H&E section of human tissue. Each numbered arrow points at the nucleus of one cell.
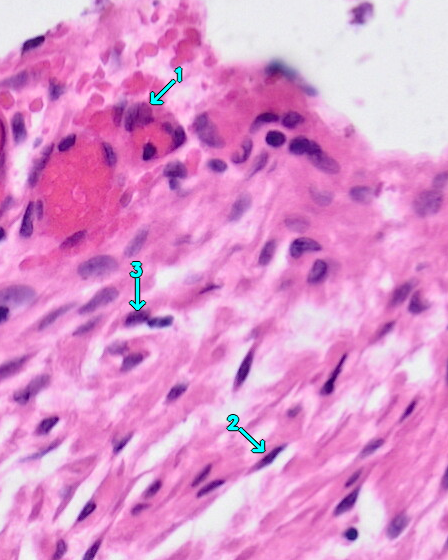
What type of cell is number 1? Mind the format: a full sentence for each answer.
The cell indicated by marker 1 is an endothelial cell in this section.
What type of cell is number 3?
Regarding cell 3, this one is a fibroblast.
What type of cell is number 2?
The mark numbered 2 indicates the nucleus of a fibroblast.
